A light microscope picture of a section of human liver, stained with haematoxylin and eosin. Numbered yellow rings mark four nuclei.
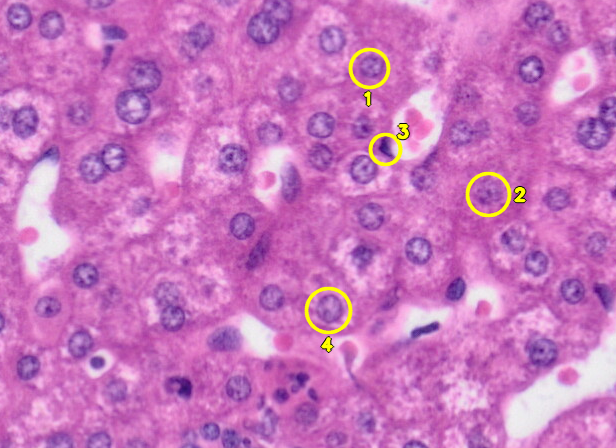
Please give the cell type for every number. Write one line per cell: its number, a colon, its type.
1: hepatocyte
2: hepatocyte
3: fibroblast or stellate cell
4: hepatocyte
